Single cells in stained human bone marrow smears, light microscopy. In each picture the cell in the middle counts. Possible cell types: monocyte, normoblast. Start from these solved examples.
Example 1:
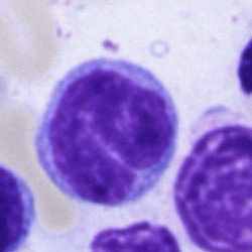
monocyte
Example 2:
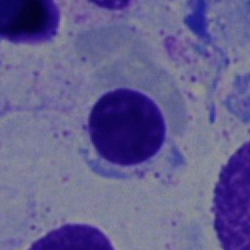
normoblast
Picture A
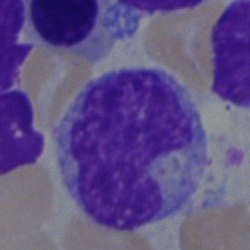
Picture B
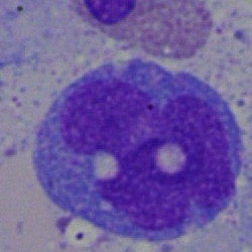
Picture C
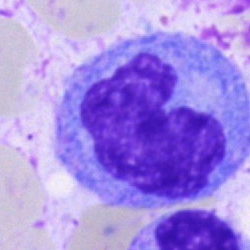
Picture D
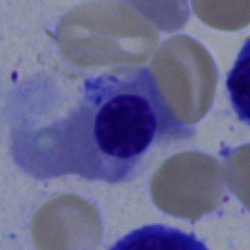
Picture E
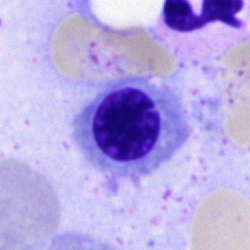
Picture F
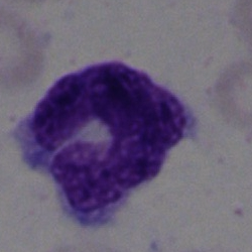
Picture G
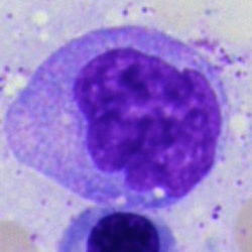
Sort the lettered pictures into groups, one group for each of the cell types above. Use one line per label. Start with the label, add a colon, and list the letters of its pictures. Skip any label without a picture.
monocyte: A, B, C, F, G
normoblast: D, E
